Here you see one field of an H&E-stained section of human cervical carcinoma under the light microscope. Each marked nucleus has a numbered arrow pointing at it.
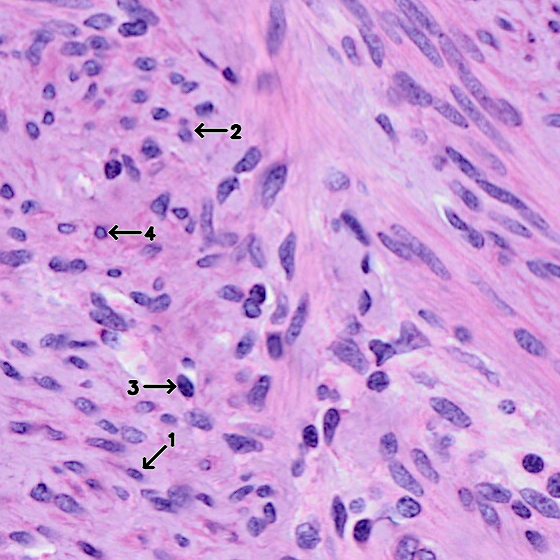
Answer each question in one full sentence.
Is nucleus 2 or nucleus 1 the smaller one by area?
With nucleus 2 about 1.5 times its size, nucleus 1 is the smaller of the two.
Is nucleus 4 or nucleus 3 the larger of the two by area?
At about 3 times the area of nucleus 4, nucleus 3 is the larger of the two.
